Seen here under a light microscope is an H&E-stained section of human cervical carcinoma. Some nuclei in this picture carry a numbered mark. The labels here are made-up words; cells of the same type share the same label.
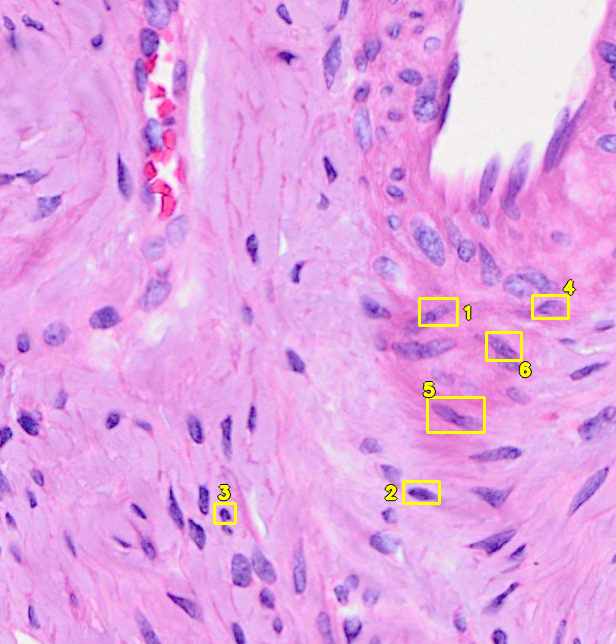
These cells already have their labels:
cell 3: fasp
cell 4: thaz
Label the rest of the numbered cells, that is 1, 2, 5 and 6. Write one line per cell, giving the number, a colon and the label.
1: thaz
2: fasp
5: thaz
6: thaz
